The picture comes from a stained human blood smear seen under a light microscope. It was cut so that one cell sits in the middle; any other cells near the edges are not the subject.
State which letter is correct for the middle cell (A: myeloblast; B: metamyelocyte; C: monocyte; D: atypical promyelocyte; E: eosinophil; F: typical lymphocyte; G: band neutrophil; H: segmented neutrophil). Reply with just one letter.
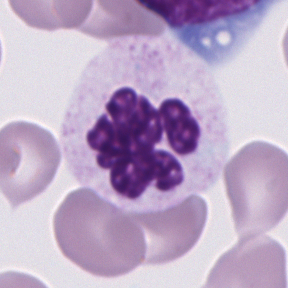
H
